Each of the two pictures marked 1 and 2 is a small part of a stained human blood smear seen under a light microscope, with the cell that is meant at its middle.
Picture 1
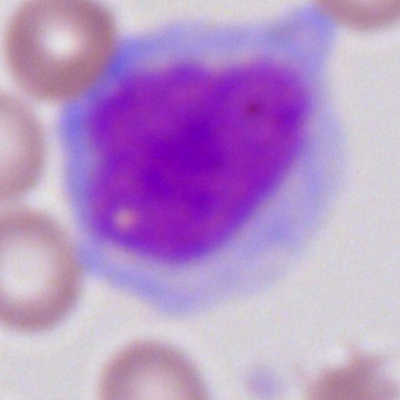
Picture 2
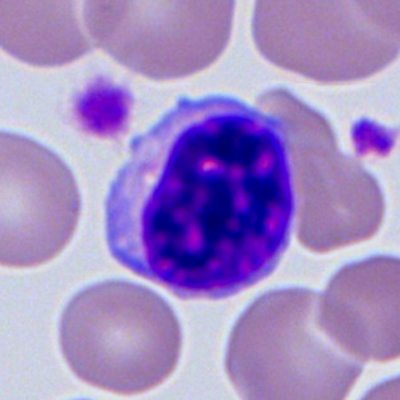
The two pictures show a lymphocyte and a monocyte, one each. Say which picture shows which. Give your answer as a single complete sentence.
It is picture 1 that shows a monocyte, and picture 2 that shows a lymphocyte.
